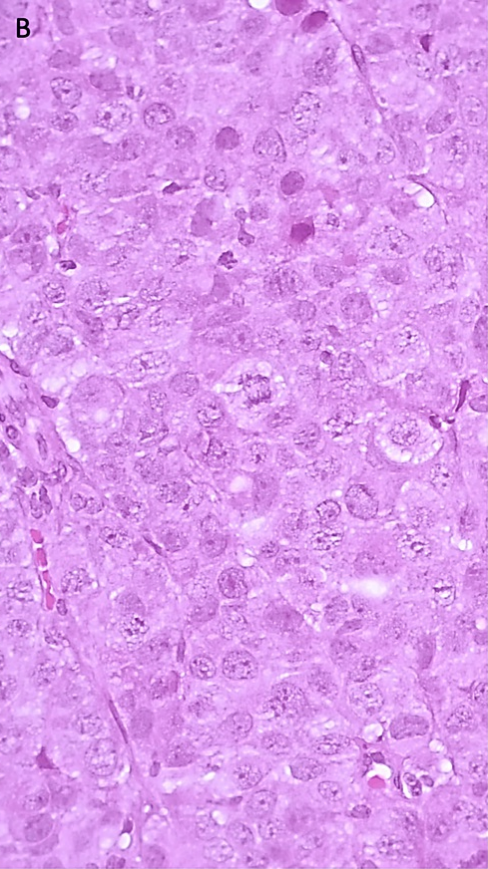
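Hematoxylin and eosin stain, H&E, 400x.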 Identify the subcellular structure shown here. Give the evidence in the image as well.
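Nucleoli. Many round nuclei contain small dark dots within finely granular chromatin.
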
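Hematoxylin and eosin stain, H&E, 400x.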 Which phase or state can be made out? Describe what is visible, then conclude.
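Near the centre a cell shows clumped dark chromosomes instead of a round nucleus. So: mitoses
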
